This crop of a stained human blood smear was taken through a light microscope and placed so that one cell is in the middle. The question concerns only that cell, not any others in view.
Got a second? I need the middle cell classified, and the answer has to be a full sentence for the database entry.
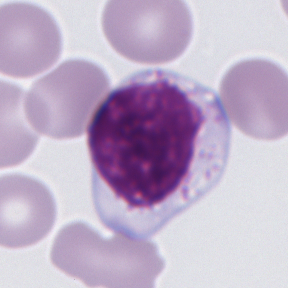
The cell of interest, located centrally, is a large granular lymphocyte.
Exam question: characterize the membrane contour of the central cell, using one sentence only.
Thanks for asking; the cell edge is smooth and has no projections.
